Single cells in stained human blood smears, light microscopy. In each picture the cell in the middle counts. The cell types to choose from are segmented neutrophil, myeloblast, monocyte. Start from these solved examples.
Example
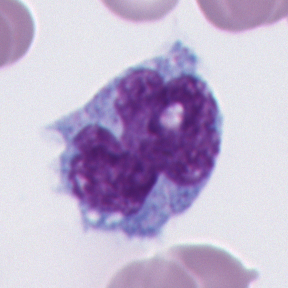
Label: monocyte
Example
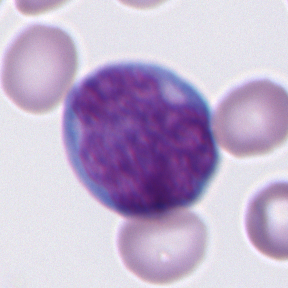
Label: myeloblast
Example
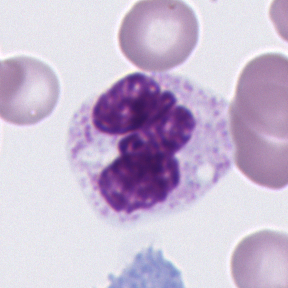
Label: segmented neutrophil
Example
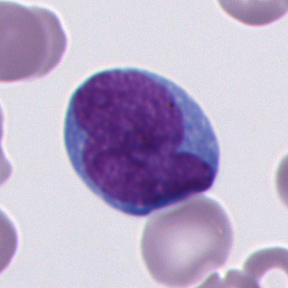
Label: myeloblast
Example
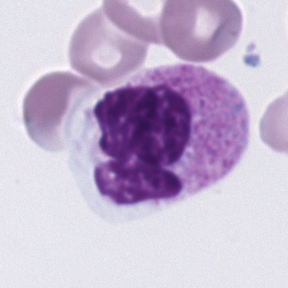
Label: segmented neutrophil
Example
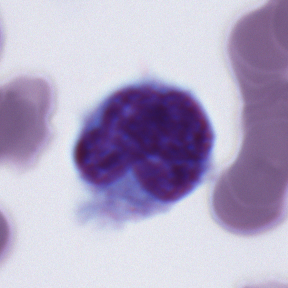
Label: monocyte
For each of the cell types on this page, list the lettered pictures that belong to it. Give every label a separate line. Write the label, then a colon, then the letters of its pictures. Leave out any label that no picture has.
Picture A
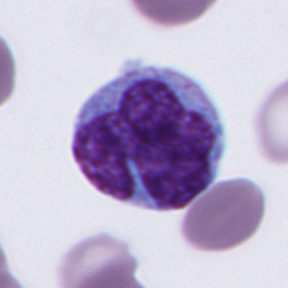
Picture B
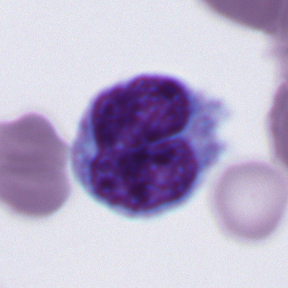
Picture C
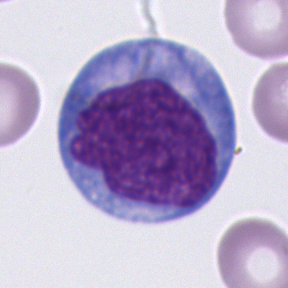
myeloblast: C
monocyte: A, B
